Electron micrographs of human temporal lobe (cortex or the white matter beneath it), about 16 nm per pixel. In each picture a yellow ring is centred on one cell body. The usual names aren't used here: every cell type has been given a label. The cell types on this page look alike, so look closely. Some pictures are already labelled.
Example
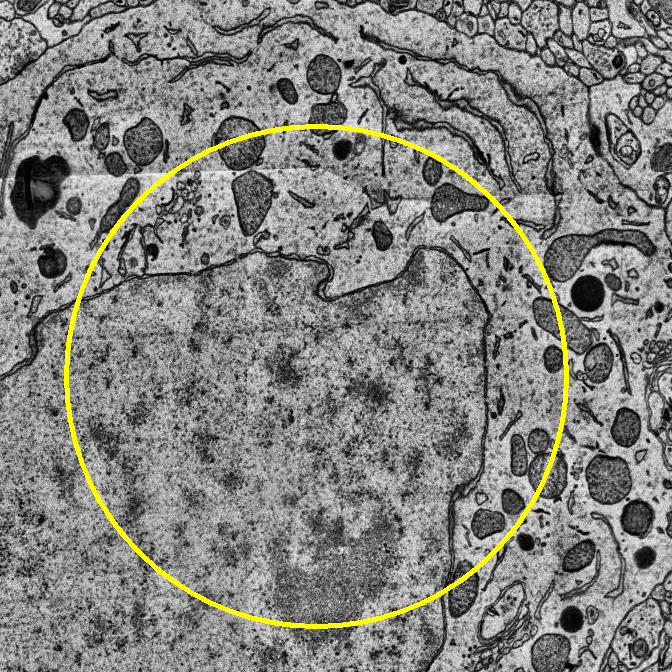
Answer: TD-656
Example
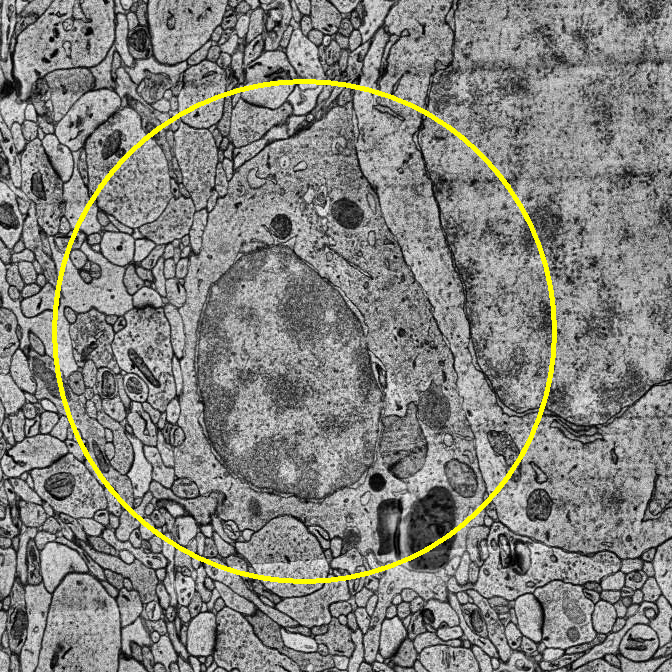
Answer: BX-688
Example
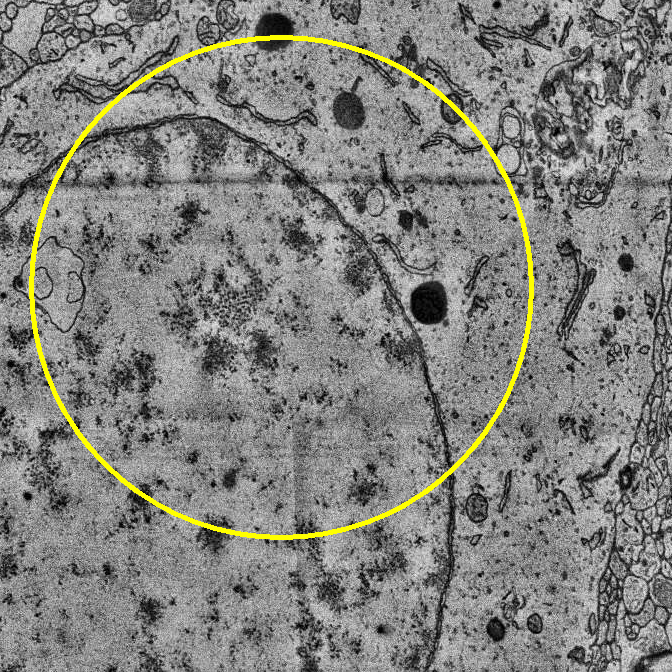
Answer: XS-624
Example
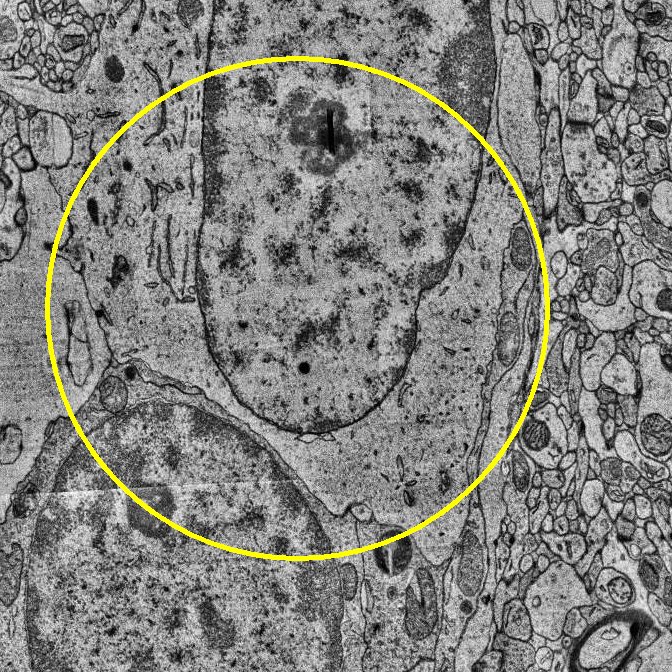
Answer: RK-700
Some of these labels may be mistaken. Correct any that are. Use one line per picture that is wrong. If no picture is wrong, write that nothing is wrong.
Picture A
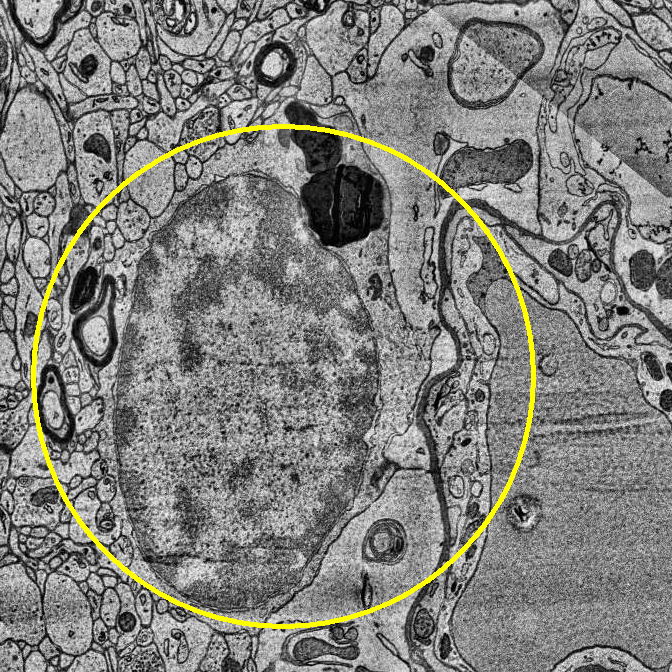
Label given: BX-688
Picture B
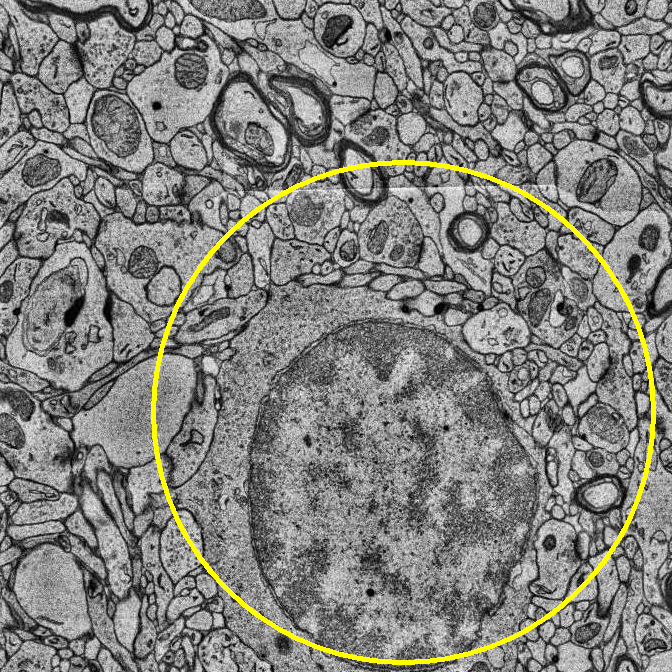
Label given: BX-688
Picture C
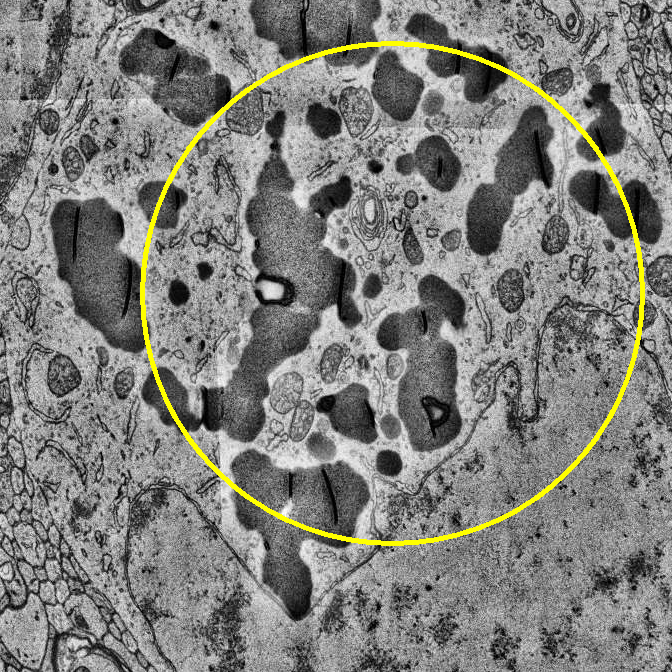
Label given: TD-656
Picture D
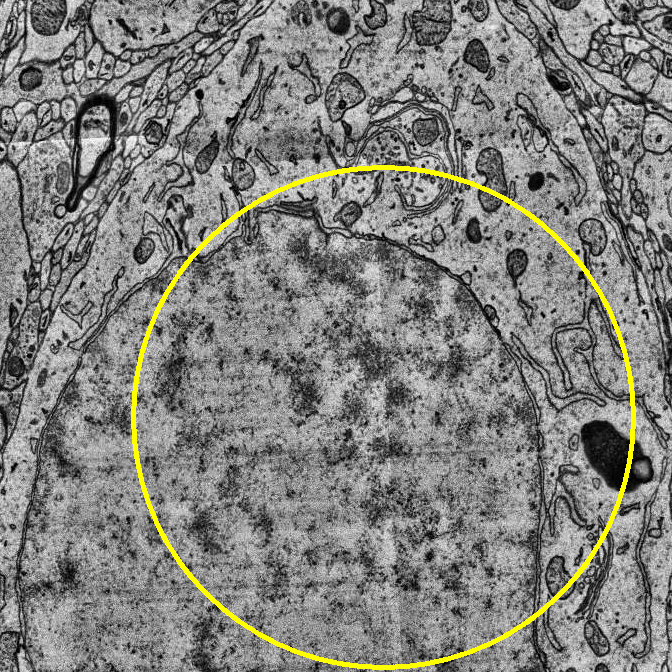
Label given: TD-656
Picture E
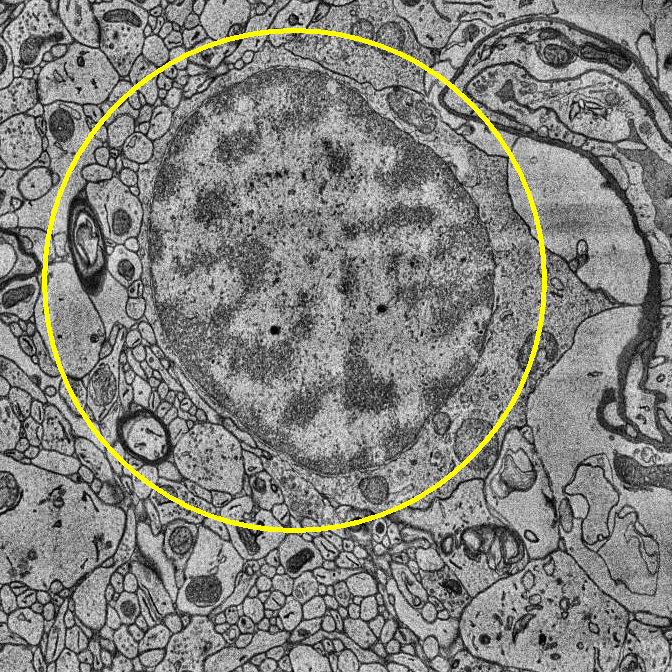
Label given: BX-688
Every label is right.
